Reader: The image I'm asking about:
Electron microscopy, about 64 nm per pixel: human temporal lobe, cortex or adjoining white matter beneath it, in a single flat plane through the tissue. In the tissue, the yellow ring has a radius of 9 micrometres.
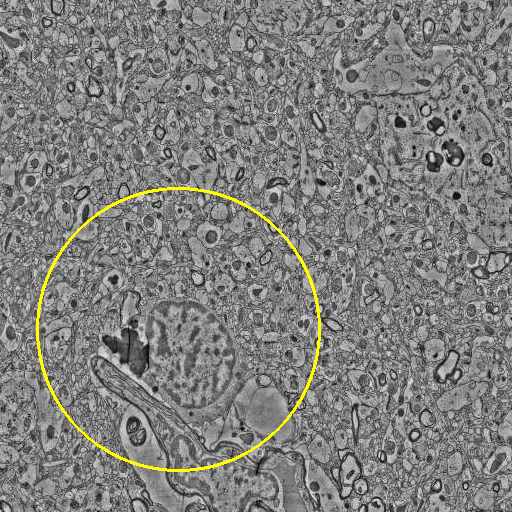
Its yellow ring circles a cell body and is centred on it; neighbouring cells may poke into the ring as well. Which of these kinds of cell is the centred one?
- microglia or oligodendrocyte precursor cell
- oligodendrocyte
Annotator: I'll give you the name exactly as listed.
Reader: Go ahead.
oligodendrocyte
